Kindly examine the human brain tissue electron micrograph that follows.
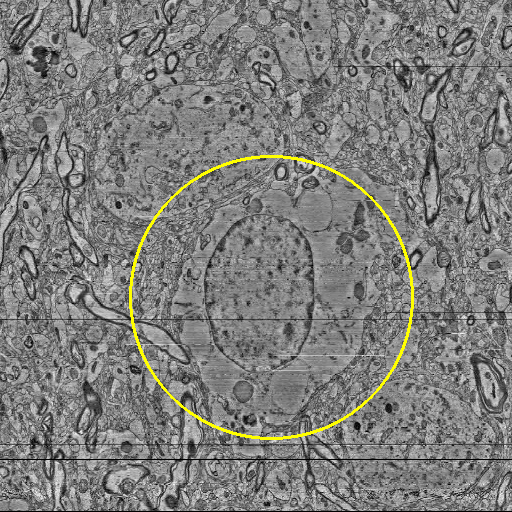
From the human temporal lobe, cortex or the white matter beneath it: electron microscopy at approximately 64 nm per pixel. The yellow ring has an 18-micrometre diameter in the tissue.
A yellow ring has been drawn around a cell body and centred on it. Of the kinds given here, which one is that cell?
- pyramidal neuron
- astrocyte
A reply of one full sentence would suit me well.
The micrograph's ringed cell, the one at the ring's centre, is an astrocyte.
